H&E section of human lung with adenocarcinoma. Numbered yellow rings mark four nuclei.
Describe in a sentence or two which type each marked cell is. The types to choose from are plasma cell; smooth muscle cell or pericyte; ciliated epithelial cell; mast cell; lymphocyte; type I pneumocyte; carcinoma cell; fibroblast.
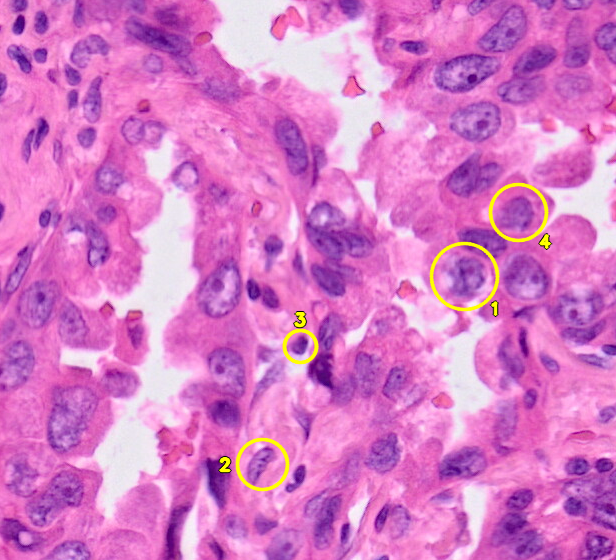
Cell 1 is a carcinoma cell, cell 2 is a fibroblast, cell 3 is a lymphocyte and cell 4 is a carcinoma cell.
